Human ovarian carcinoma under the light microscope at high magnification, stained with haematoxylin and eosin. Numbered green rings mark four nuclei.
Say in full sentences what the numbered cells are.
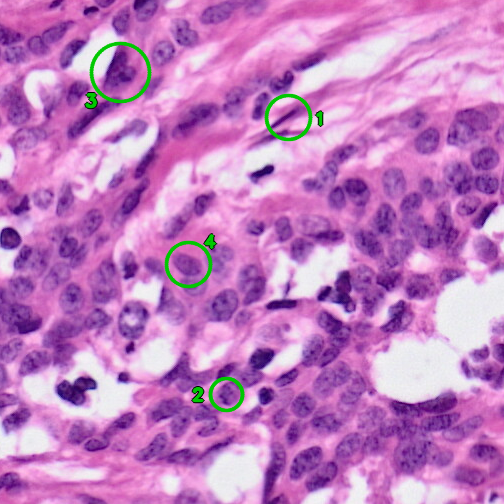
Cell 1 is a fibroblast, cell 2 is a macrophage or monocyte, cell 3 is a carcinoma cell and cell 4 is a carcinoma cell.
